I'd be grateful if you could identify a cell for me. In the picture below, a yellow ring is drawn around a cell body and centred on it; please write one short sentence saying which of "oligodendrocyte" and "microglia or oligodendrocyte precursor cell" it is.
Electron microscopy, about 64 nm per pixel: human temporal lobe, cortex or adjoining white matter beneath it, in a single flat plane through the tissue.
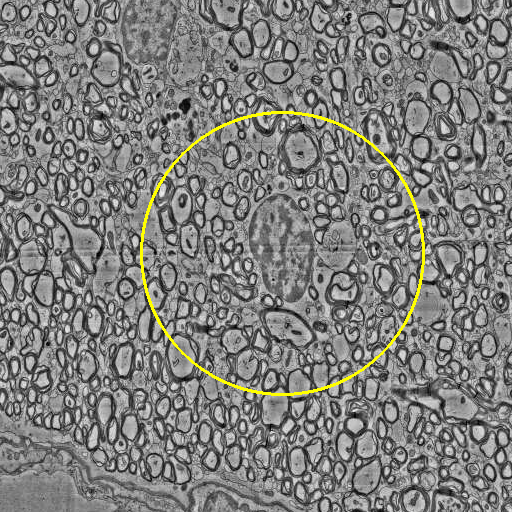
The cell under the ring's centre is a microglial cell or oligodendrocyte precursor cell.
